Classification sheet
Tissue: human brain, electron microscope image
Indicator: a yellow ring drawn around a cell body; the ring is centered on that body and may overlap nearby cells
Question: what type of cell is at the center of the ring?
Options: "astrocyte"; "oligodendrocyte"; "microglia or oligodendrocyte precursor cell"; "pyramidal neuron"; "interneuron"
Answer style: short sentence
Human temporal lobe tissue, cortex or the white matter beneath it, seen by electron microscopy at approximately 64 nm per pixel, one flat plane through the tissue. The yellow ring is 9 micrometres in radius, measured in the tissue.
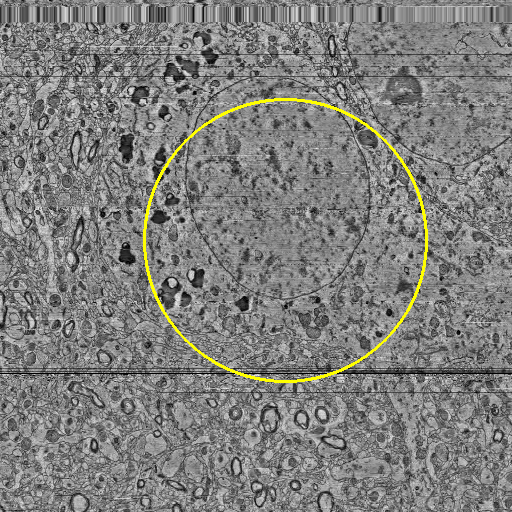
At the ring's center is a pyramidal neuron.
